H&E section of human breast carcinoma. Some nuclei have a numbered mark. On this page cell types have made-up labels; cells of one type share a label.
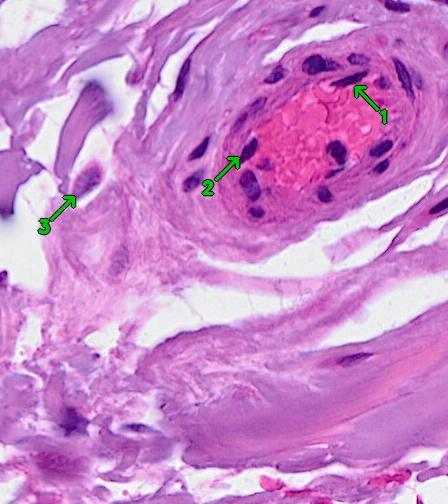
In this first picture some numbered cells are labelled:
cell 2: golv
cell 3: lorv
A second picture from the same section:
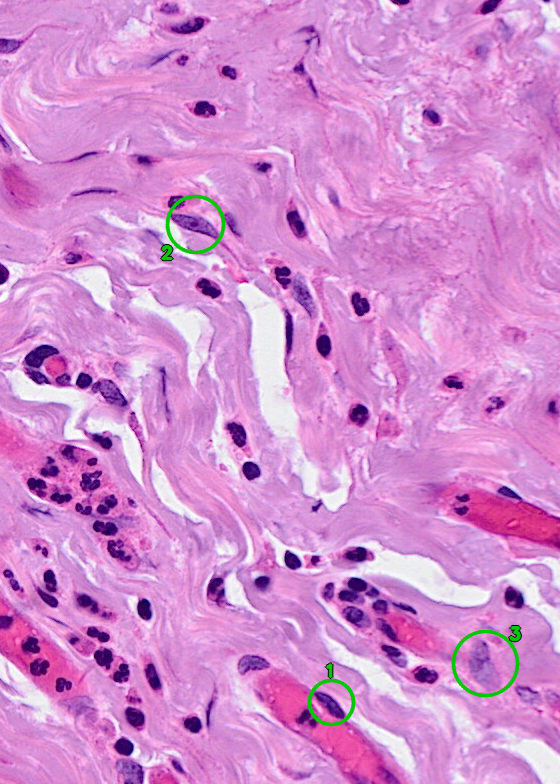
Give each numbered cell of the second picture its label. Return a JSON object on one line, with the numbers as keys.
{"1": "golv", "2": "lorv", "3": "lorv"}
